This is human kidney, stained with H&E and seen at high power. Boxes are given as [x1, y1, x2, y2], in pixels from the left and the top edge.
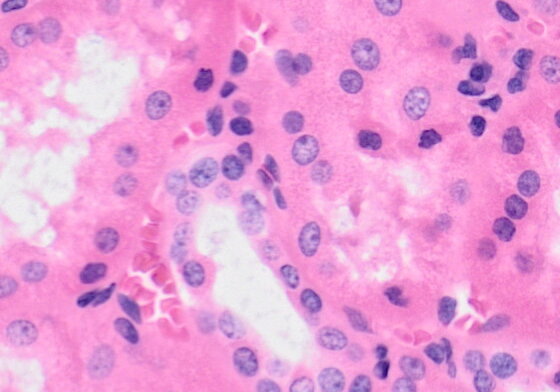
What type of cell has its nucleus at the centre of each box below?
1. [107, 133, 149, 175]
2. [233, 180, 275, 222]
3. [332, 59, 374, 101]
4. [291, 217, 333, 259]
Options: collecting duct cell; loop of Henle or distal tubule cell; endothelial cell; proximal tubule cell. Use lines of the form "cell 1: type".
cell 1: proximal tubule cell
cell 2: collecting duct cell
cell 3: proximal tubule cell
cell 4: proximal tubule cell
